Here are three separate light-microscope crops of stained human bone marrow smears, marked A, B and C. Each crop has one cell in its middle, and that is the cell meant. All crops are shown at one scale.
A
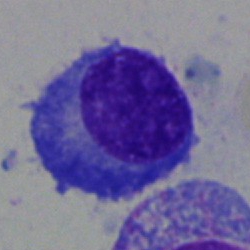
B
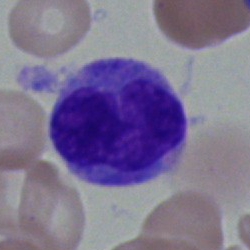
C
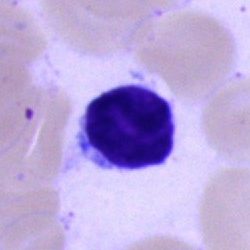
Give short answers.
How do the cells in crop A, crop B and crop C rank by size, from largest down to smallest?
A, B, C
